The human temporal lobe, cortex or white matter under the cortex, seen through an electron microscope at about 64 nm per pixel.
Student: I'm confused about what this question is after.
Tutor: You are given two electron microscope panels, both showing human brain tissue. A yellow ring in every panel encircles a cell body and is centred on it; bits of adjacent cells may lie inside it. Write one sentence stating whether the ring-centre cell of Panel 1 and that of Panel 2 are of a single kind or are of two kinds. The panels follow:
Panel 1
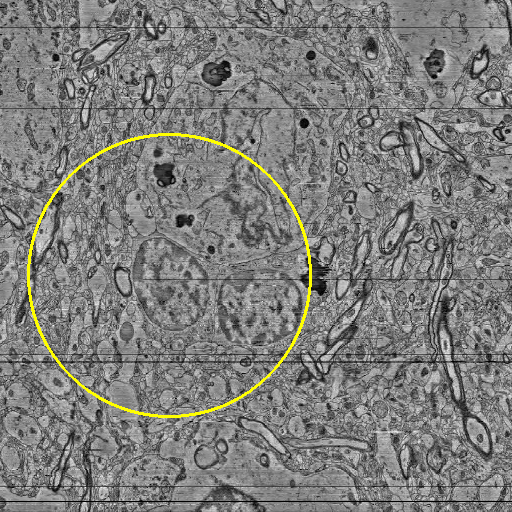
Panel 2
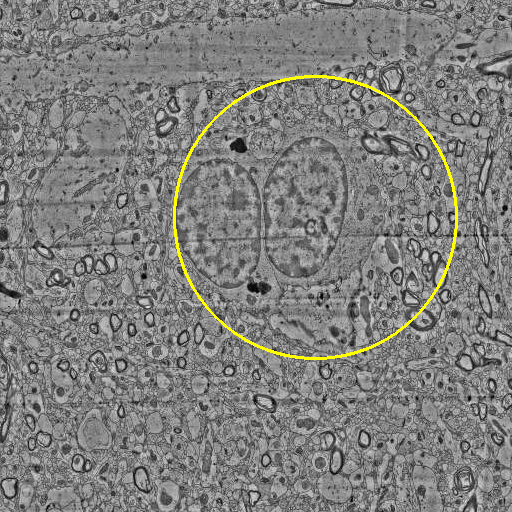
Here, the Panel 1 ring-centre cell and the Panel 2 ring-centre cell are of a single kind.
